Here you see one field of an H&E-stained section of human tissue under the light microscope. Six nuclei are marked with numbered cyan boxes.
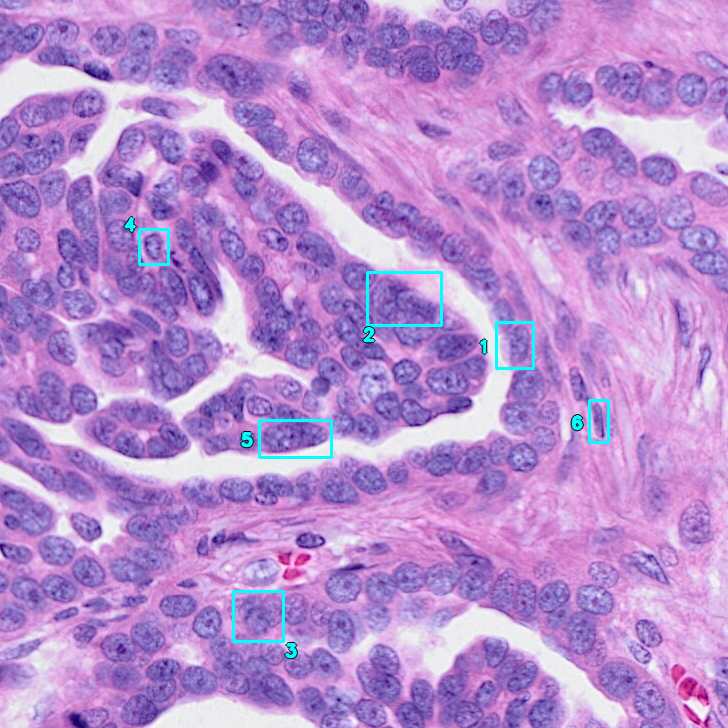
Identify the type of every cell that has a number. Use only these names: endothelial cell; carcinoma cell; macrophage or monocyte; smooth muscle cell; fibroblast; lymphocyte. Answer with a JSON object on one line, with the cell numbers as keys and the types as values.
{"1": "carcinoma cell", "2": "carcinoma cell", "3": "carcinoma cell", "4": "macrophage or monocyte", "5": "carcinoma cell", "6": "fibroblast"}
